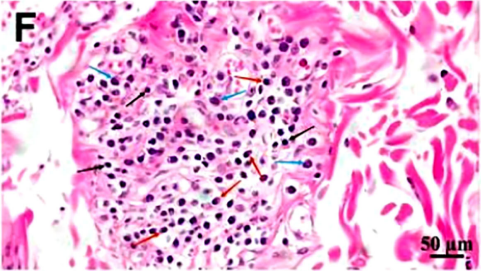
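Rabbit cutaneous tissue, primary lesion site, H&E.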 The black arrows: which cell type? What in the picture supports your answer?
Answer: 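Small round cells with a dense, dark purple nucleus. Very little cytoplasm around the nucleus.
Answer: lymphocyte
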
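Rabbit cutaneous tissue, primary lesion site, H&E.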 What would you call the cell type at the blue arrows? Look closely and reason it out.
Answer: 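Macrophage. Larger cells with paler, oval nuclei. More abundant pale cytoplasm than neighbouring small round cells.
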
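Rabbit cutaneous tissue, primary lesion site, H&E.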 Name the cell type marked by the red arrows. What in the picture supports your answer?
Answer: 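Round to oval cells with more cytoplasm than the small dark cells. Nucleus sits toward one side of the cell.
Conclusion: plasma cell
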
